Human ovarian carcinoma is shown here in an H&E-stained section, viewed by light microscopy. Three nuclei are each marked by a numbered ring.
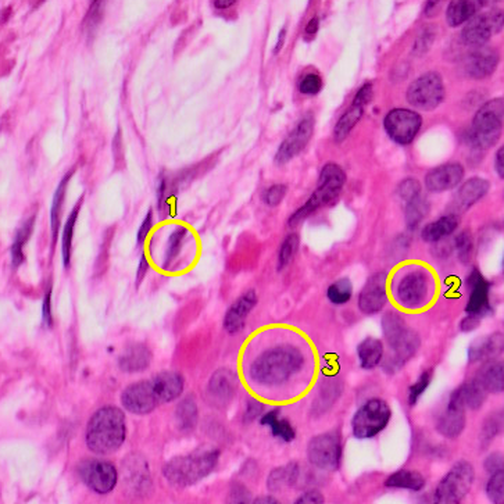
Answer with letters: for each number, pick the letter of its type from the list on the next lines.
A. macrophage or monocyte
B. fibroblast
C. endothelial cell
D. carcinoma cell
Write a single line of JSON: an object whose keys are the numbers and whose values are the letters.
{"1": "B", "2": "D", "3": "D"}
